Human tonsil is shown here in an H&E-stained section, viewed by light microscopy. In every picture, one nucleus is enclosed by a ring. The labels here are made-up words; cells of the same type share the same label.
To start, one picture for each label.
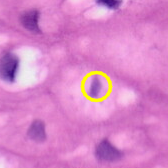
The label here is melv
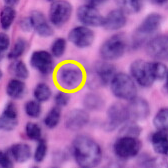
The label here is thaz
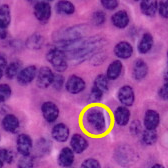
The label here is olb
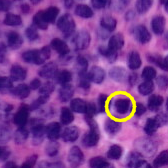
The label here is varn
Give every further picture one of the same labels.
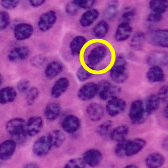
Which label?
olb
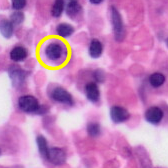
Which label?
olb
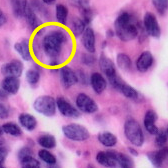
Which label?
thaz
